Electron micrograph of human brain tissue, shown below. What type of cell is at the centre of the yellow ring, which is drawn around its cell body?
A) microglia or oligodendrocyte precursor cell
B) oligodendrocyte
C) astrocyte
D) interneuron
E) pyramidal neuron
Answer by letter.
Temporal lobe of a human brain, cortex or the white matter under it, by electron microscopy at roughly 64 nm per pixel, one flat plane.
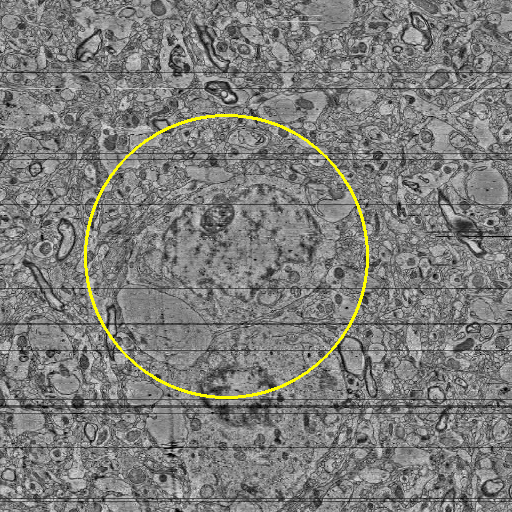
D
